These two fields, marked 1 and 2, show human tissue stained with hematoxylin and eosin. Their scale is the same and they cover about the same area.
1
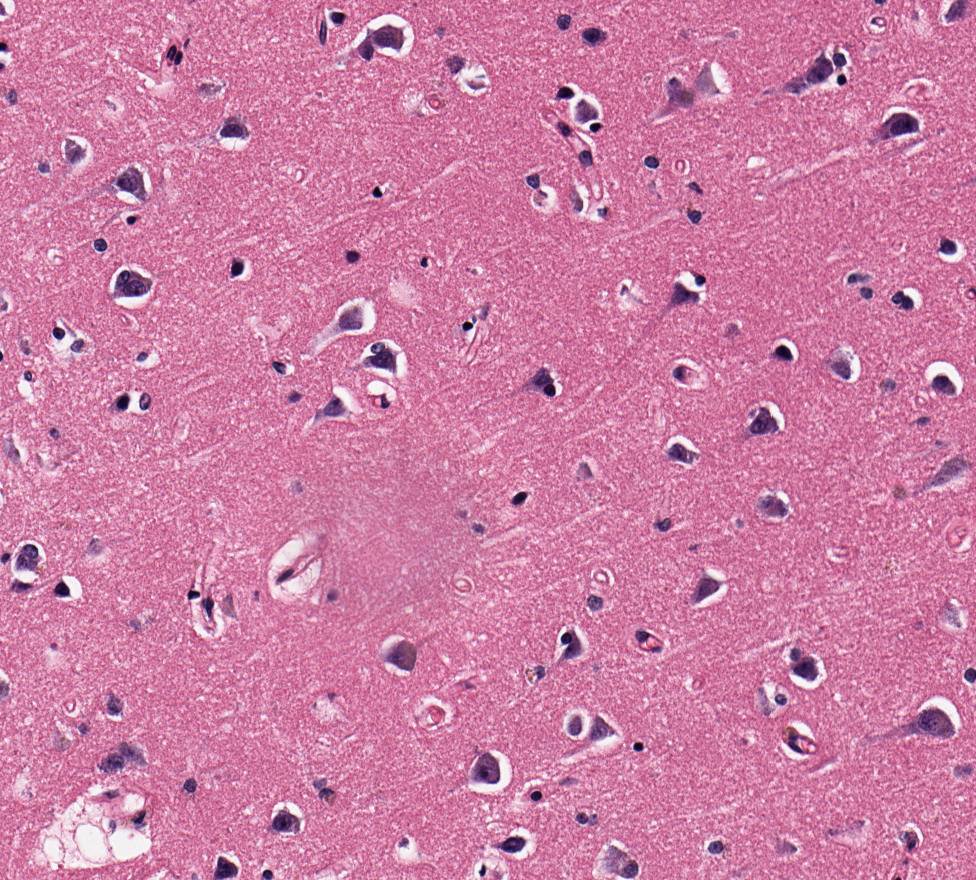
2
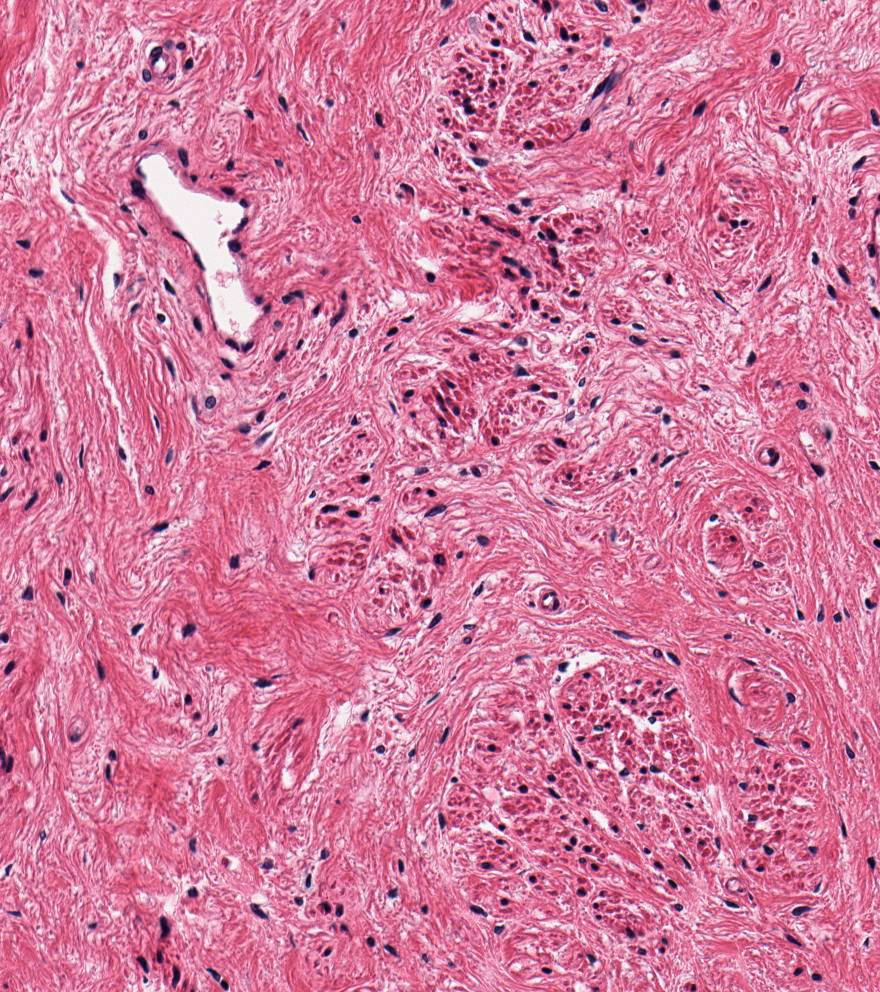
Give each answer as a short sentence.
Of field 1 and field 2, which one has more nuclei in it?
It is field 2 that has more nuclei in it.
